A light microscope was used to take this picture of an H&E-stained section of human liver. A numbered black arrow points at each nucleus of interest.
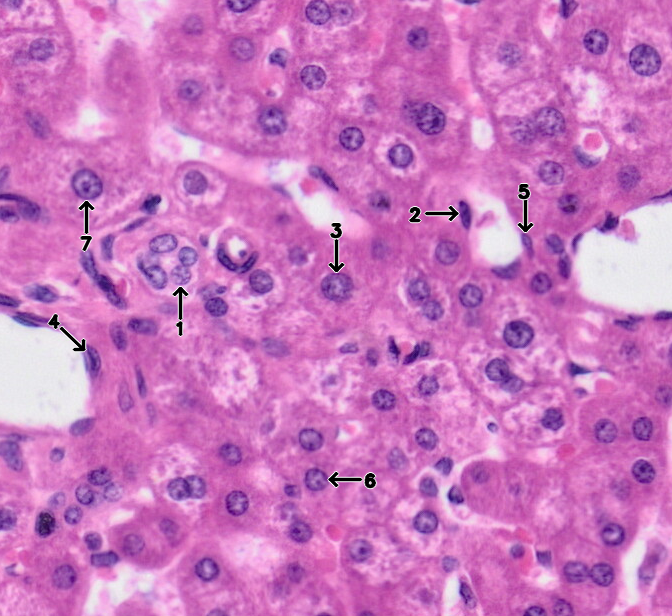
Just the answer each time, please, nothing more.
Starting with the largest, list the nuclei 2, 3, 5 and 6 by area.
3, 6, 2, 5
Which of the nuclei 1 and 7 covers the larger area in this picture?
7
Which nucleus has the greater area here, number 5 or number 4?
4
